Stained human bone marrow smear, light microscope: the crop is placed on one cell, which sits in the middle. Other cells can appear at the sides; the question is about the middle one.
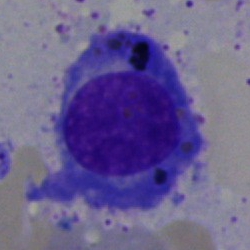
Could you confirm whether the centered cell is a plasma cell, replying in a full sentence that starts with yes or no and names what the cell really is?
Yes, the cell centred in this crop is a plasma cell.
